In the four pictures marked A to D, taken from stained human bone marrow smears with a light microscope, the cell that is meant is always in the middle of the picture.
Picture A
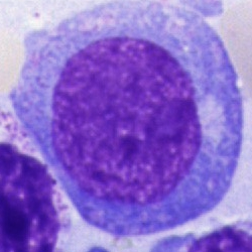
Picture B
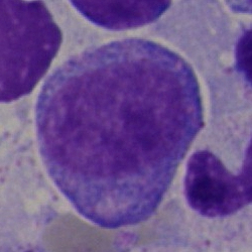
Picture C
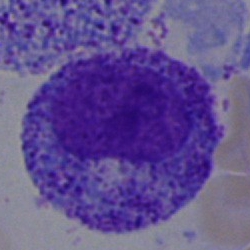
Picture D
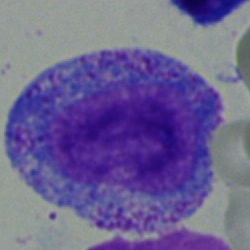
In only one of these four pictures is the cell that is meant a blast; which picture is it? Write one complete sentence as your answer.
The cell in picture A is the blast.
